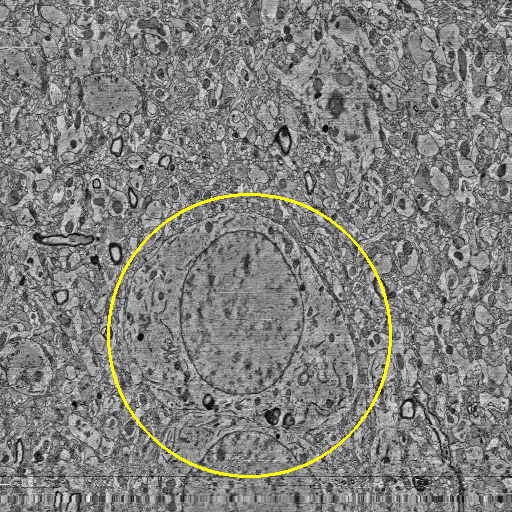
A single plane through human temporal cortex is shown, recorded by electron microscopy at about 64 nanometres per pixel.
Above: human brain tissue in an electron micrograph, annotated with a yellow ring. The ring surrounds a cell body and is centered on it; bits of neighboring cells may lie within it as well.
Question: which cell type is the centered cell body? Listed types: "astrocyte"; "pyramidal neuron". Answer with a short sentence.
The centered cell body is a pyramidal neuron.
